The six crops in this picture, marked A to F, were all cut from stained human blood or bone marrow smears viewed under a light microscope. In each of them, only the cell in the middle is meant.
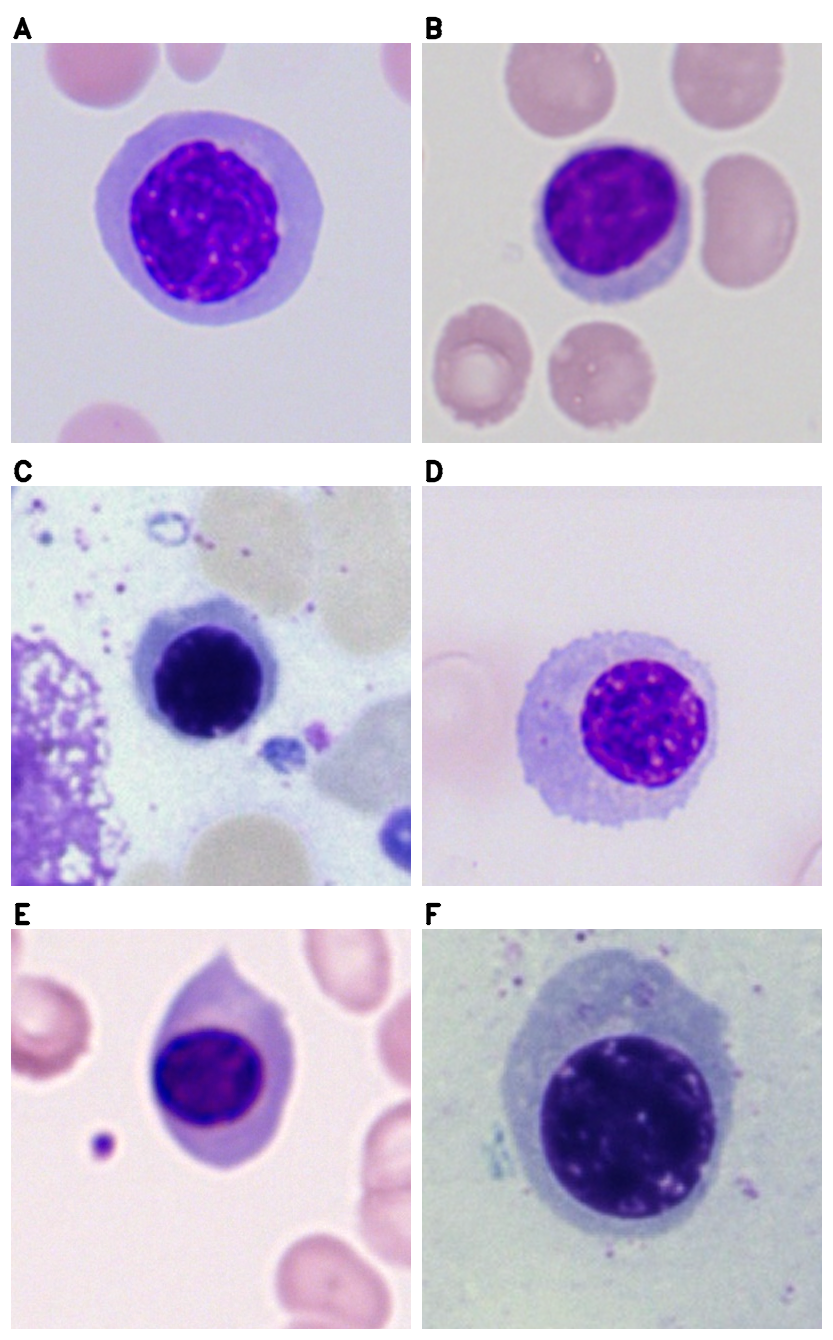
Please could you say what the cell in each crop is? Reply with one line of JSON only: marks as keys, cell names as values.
{"A": "erythroblast", "B": "lymphocyte", "C": "erythroblast", "D": "erythroblast", "E": "erythroblast", "F": "erythroblast"}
